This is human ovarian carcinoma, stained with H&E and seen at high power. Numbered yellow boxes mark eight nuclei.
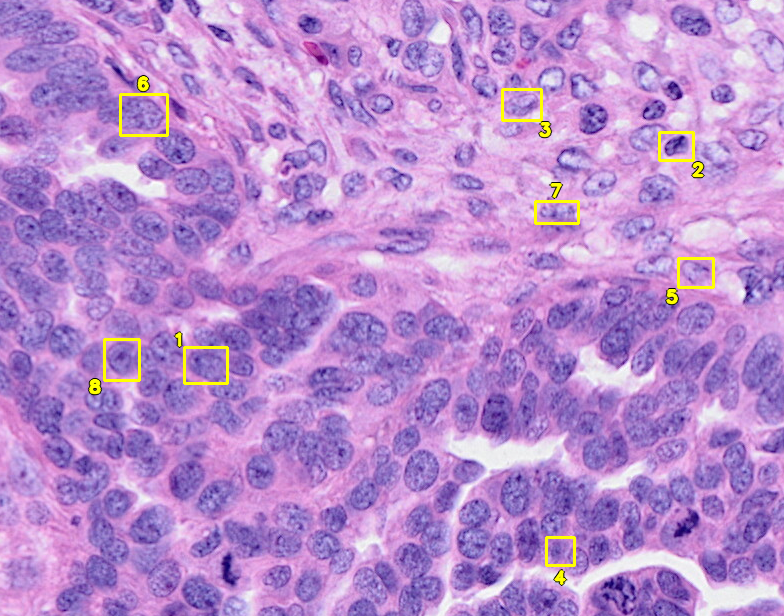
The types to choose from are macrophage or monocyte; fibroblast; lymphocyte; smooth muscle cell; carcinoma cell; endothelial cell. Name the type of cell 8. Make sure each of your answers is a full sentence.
Looking at the numbered marks, cell 8 is a carcinoma cell.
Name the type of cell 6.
The cell marked with number 6 is a carcinoma cell.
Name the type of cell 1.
The correct label for cell 1 is a carcinoma cell.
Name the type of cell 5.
Cell 5, among those numbered, is a fibroblast.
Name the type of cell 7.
The nucleus marked 7 is the nucleus of a fibroblast.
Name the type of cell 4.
The numbered cell 4 in this field is a carcinoma cell.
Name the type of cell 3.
The numbered cell 3 in this field is a fibroblast.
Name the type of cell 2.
The cell numbered 2 represents a lymphocyte.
